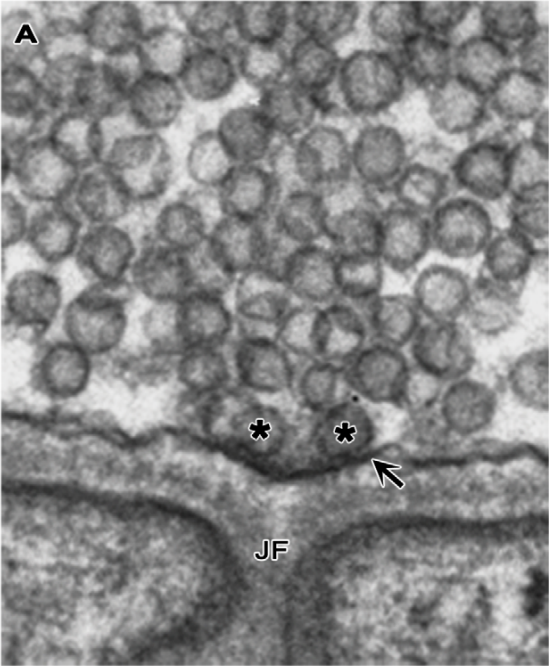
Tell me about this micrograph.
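This electron micrograph shows a nerve terminal packed with synaptic vesicles lying over the surface of a muscle fiber. The vesicles are small, round and uniform, each with a dark membrane and a paler interior, and they crowd the upper part of the terminal. Two vesicles sit directly on the presynaptic membrane, where the membrane bulges down into the synaptic cleft, and a small dark patch of material lies between them. Just opposite this bulge, the muscle fiber's surface dips inward to form the mouth of a junctional fold.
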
